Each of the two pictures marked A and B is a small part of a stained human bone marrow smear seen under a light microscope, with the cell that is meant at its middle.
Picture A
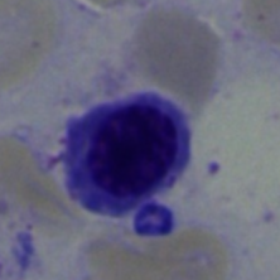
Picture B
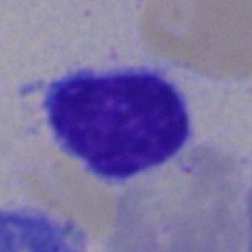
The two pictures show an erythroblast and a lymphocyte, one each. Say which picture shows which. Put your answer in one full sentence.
It is picture A that shows an erythroblast, and picture B that shows a lymphocyte.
